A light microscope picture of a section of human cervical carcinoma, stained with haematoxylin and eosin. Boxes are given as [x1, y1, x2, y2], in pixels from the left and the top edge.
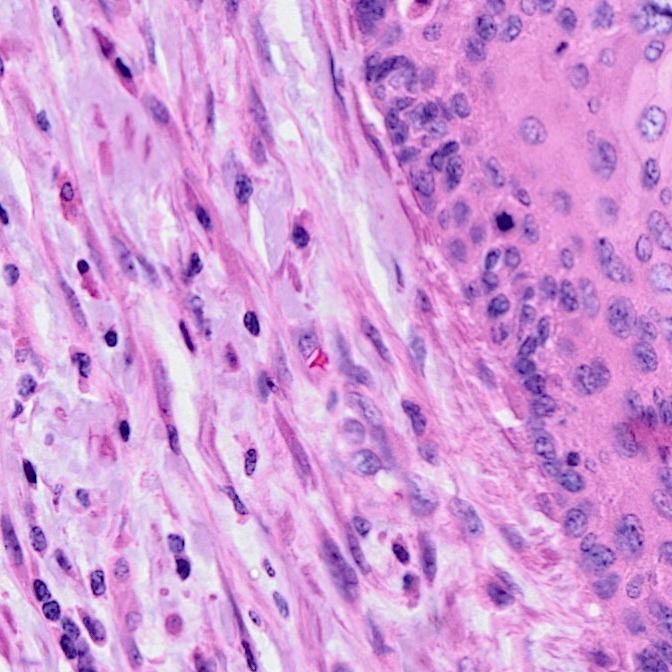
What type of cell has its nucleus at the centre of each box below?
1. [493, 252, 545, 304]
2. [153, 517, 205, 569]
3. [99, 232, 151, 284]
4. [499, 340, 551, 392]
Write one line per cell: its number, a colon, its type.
1: squamous carcinoma cell
2: lymphocyte
3: fibroblast
4: squamous carcinoma cell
